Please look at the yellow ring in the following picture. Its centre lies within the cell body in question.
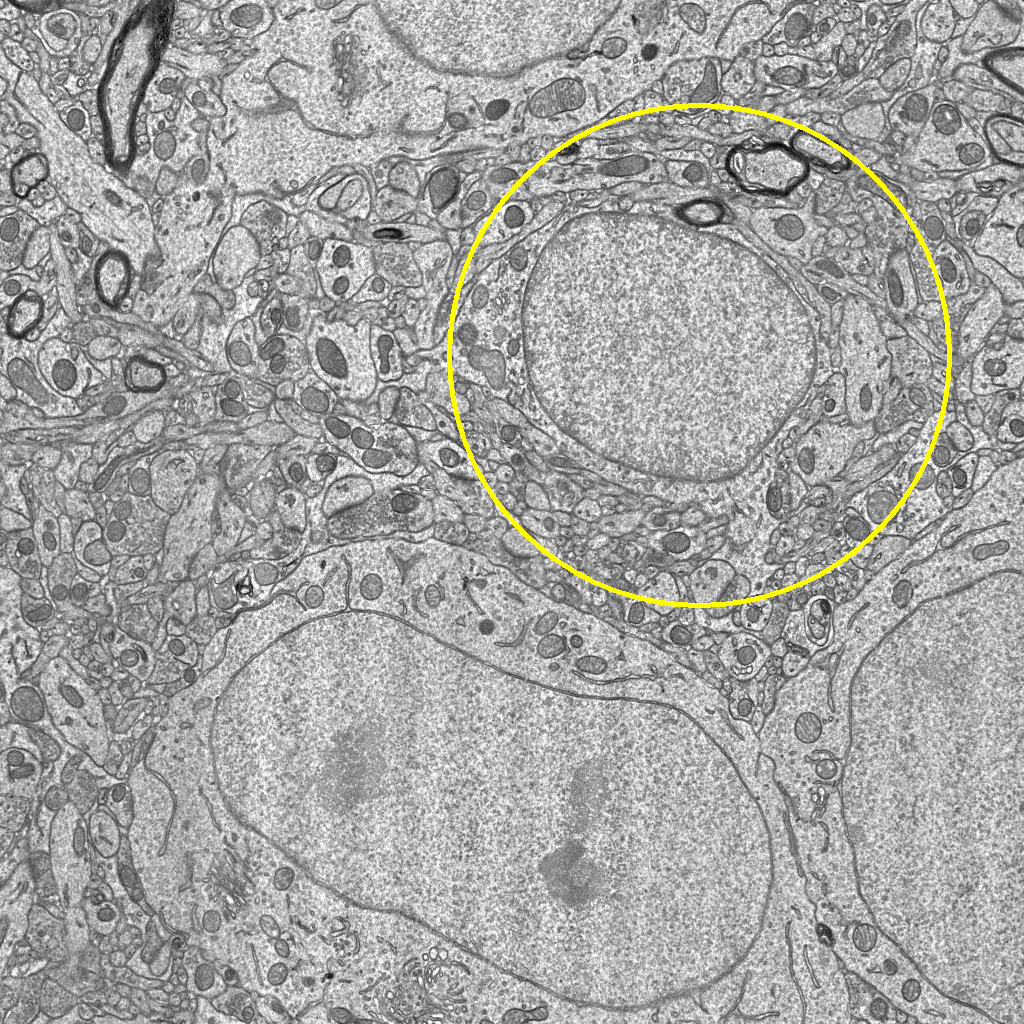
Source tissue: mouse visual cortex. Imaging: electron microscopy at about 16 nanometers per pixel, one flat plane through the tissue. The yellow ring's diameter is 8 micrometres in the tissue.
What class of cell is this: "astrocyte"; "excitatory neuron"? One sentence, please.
The centre of the ring lies in the cell body of an astrocyte.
